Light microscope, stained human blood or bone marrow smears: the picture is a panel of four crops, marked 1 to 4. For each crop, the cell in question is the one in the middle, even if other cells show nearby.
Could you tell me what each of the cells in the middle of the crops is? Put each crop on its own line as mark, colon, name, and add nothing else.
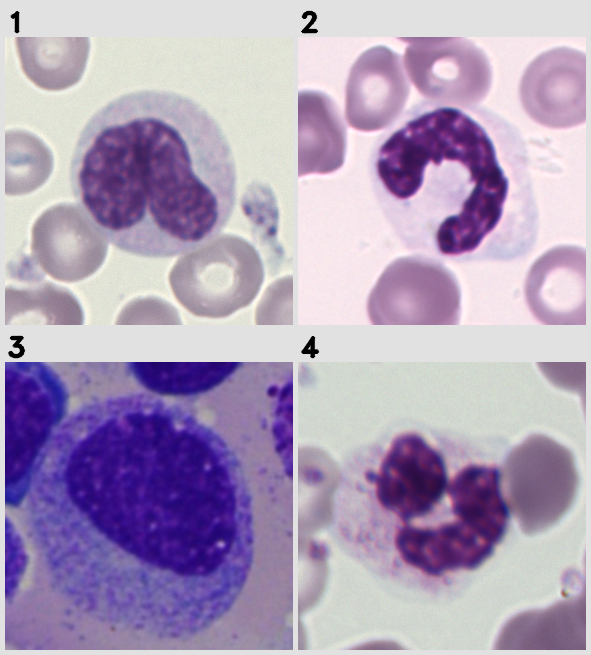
1: band neutrophil
2: band neutrophil
3: promyelocyte
4: segmented neutrophil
